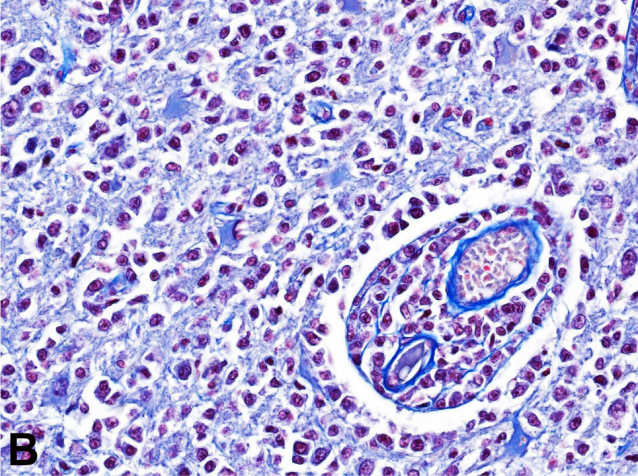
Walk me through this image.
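This is brain tissue densely infiltrated by lymphoma cells. The cells are round to oval, with dark purple nuclei and scant cytoplasm, and they lie singly in a pale bluish background.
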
